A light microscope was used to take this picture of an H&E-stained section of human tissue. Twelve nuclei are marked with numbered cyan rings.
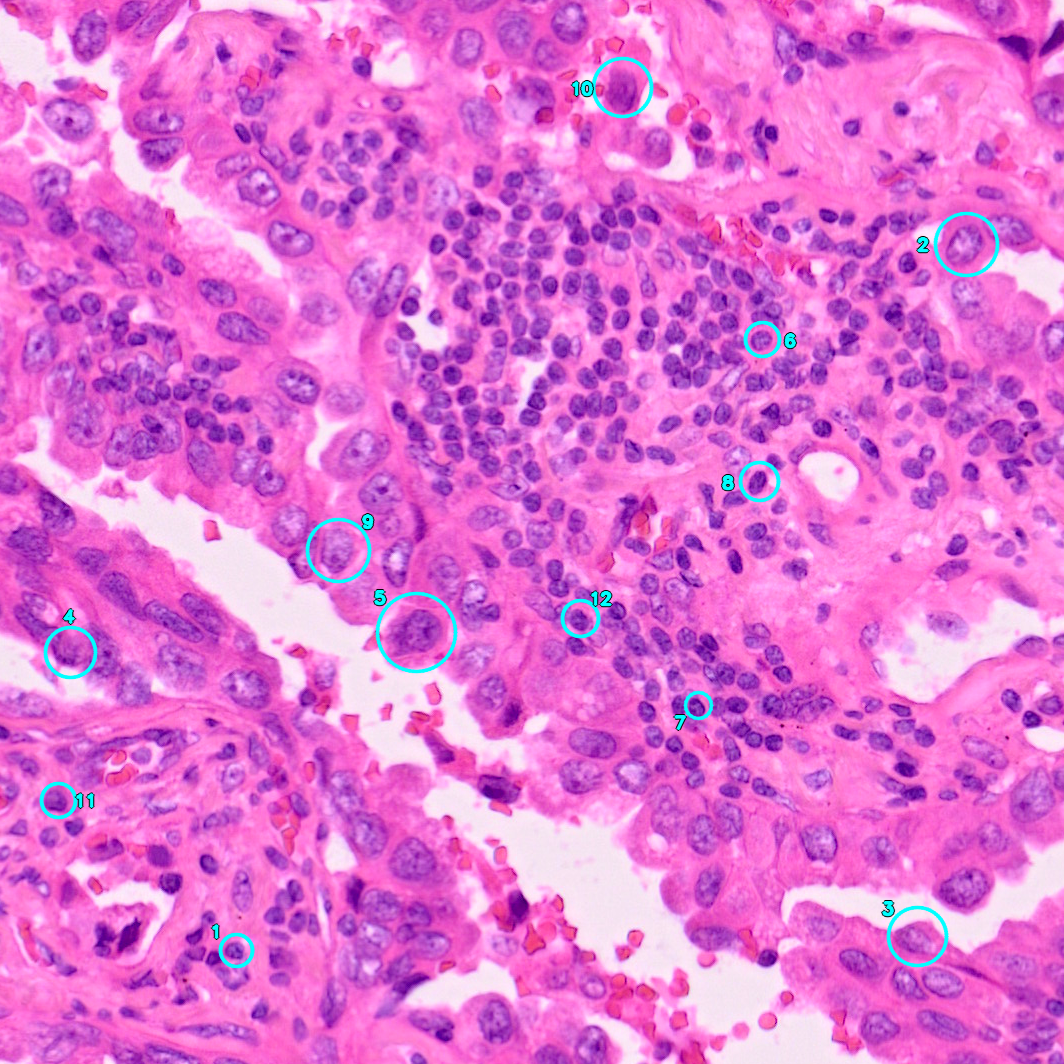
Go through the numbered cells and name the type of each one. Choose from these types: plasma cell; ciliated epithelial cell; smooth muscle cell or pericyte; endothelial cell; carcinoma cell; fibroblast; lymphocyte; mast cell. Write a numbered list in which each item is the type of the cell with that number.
1. lymphocyte
2. carcinoma cell
3. carcinoma cell
4. carcinoma cell
5. carcinoma cell
6. mast cell
7. lymphocyte
8. lymphocyte
9. carcinoma cell
10. carcinoma cell
11. plasma cell
12. lymphocyte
